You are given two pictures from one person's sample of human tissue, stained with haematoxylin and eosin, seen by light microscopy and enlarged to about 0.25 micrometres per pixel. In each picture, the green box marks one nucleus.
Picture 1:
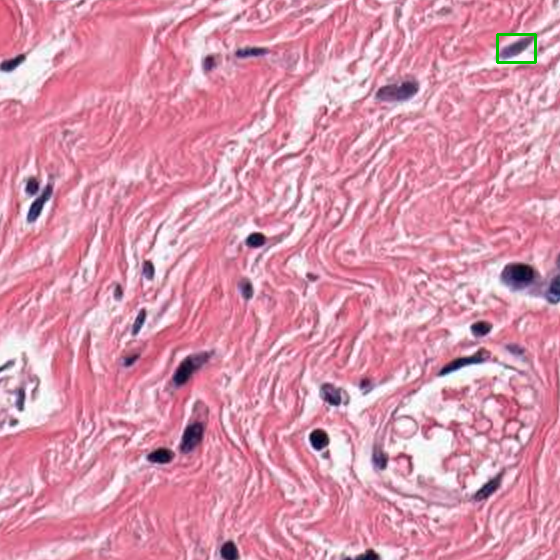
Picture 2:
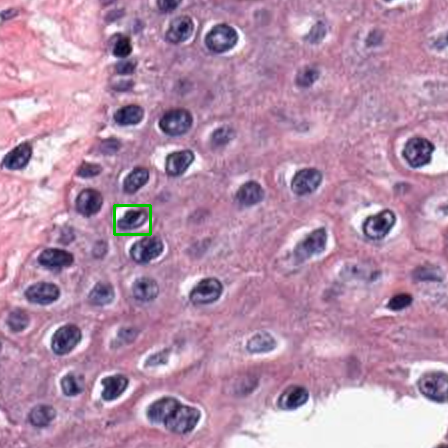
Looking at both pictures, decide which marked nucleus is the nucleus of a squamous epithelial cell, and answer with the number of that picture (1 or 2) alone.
2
